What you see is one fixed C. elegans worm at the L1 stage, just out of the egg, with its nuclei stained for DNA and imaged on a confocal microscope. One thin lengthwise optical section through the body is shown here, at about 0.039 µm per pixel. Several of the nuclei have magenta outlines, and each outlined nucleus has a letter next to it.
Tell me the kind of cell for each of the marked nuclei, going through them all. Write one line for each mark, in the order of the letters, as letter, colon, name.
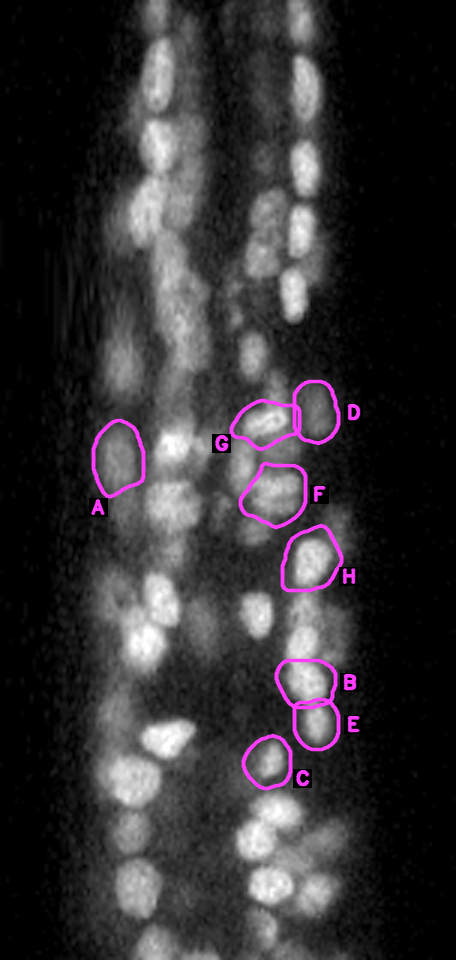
A: hypodermal cell (hyp)
B: neuron
C: GLR cell
D: hypodermal cell (hyp)
E: neuron
F: pharyngeal muscle cell
G: pharyngeal muscle cell
H: neuron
